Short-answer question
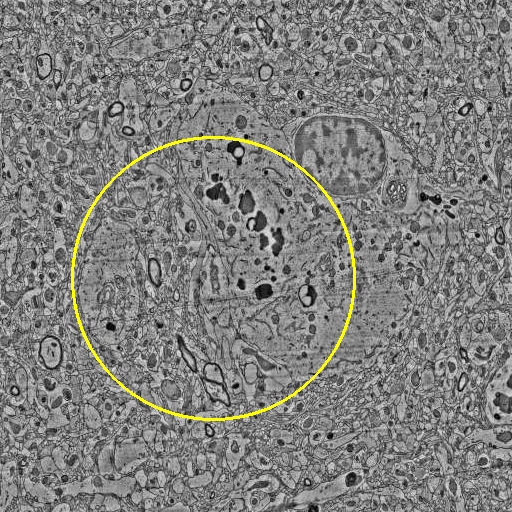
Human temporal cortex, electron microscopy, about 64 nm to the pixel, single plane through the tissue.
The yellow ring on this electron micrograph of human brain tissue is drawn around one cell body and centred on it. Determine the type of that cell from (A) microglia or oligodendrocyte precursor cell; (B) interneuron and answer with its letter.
A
